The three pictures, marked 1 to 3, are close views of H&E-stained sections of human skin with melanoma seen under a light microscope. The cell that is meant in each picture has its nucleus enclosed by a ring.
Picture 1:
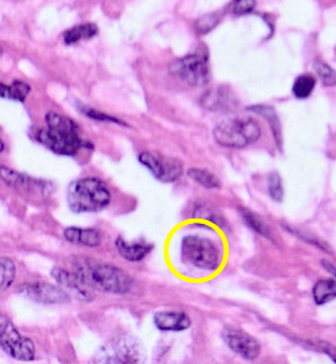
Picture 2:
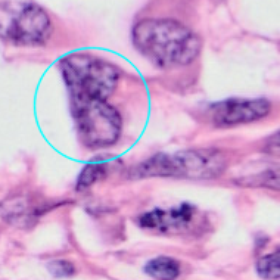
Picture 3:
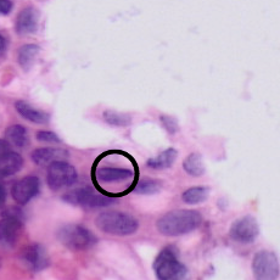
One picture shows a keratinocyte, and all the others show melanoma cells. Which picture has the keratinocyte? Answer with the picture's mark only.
3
